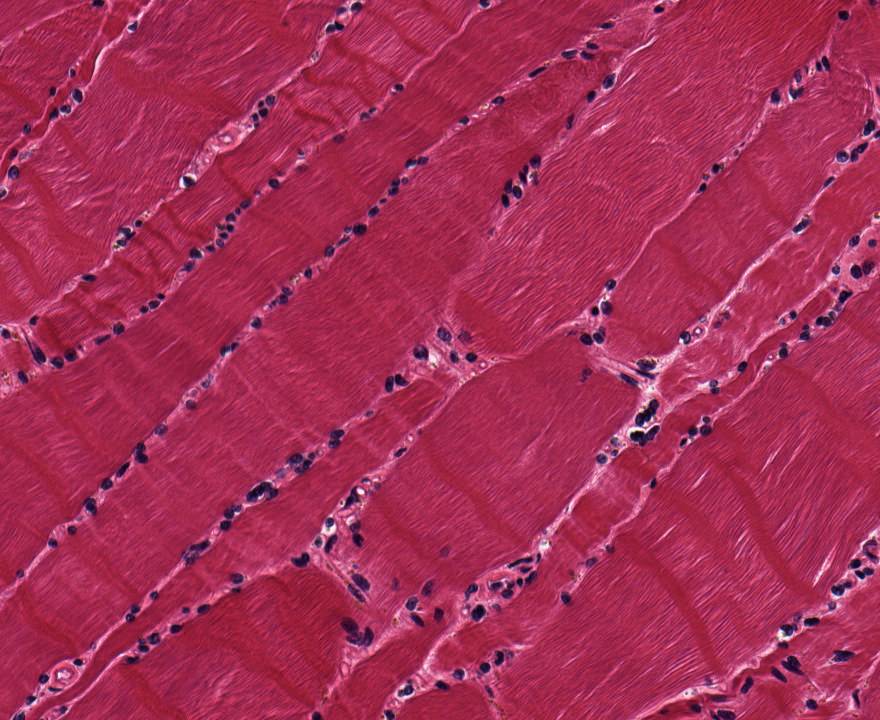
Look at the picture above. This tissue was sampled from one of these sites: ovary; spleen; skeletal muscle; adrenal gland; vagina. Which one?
skeletal muscle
